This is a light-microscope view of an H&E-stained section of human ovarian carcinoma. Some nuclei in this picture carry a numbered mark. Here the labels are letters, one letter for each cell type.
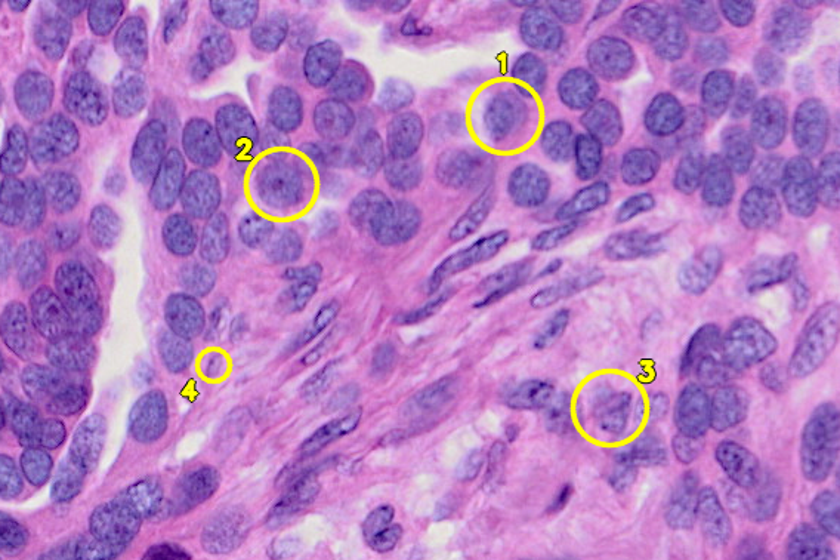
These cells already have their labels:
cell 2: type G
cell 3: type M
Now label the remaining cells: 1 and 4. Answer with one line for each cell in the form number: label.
1: type G
4: type M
